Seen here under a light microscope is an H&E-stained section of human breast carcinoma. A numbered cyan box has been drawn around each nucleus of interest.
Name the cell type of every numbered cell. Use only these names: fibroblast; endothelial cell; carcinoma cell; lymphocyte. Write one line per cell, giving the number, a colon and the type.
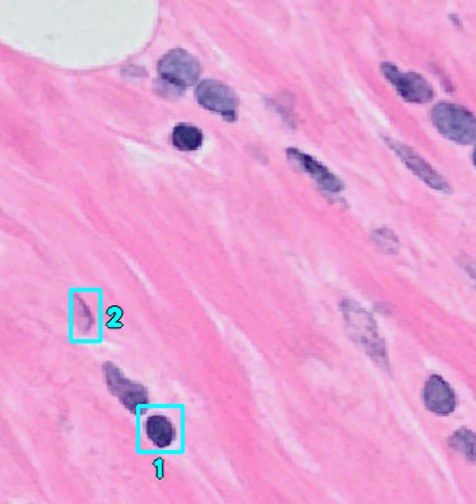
1: lymphocyte
2: fibroblast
